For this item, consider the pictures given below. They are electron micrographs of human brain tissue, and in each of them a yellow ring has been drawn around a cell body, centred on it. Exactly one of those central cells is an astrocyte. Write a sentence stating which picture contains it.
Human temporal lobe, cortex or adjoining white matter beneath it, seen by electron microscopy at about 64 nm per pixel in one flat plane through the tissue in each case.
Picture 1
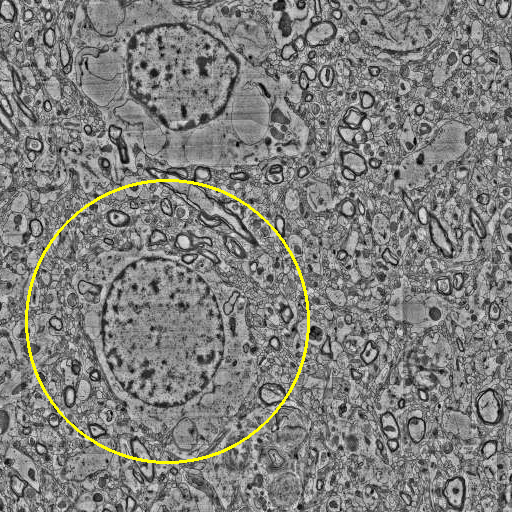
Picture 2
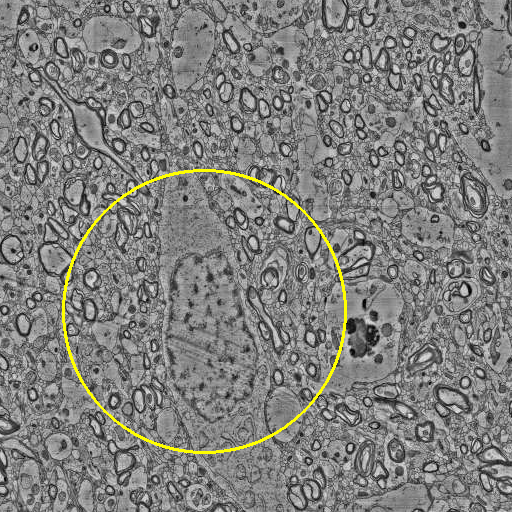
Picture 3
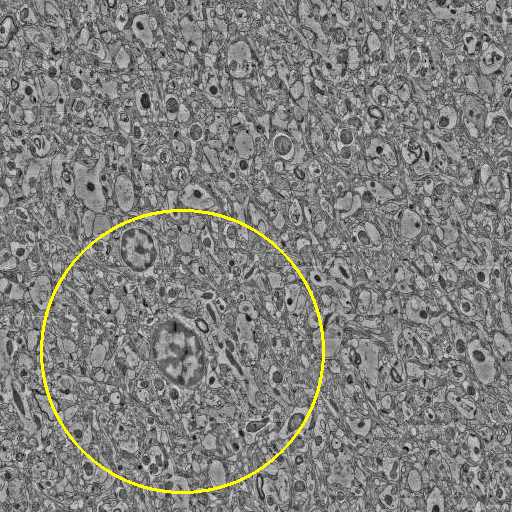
It is in Picture 1.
